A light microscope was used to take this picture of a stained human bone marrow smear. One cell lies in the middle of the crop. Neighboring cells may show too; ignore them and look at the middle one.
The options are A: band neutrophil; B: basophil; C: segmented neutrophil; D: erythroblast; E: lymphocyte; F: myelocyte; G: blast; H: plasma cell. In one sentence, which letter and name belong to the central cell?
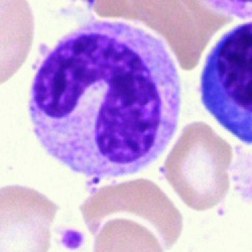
The cell in the center of this crop is a band neutrophil, so option A is the one to pick.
